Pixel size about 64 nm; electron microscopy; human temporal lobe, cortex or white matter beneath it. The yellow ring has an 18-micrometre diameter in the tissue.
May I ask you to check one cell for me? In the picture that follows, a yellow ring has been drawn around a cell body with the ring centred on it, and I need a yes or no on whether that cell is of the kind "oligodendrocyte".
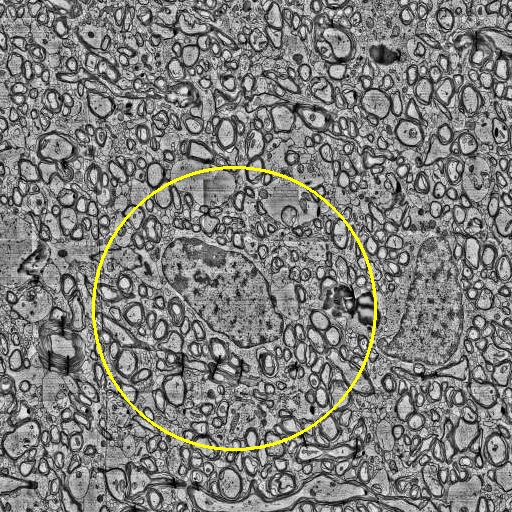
No, it is some other kind of cell.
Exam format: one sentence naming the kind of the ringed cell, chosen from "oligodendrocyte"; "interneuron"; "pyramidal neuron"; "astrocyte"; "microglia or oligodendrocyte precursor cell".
Instead, the cell at the centre of the ring is a microglial cell or oligodendrocyte precursor cell.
